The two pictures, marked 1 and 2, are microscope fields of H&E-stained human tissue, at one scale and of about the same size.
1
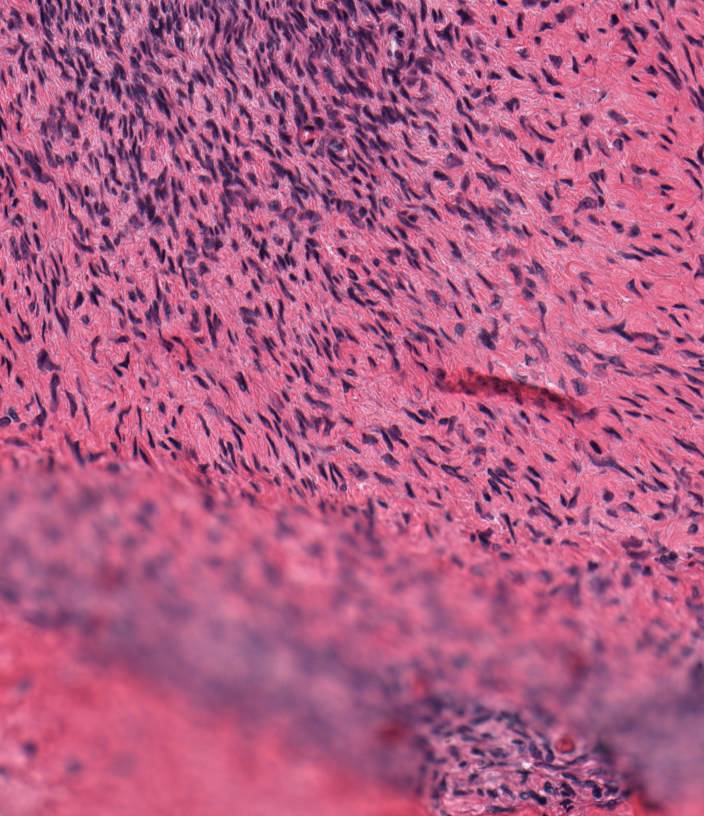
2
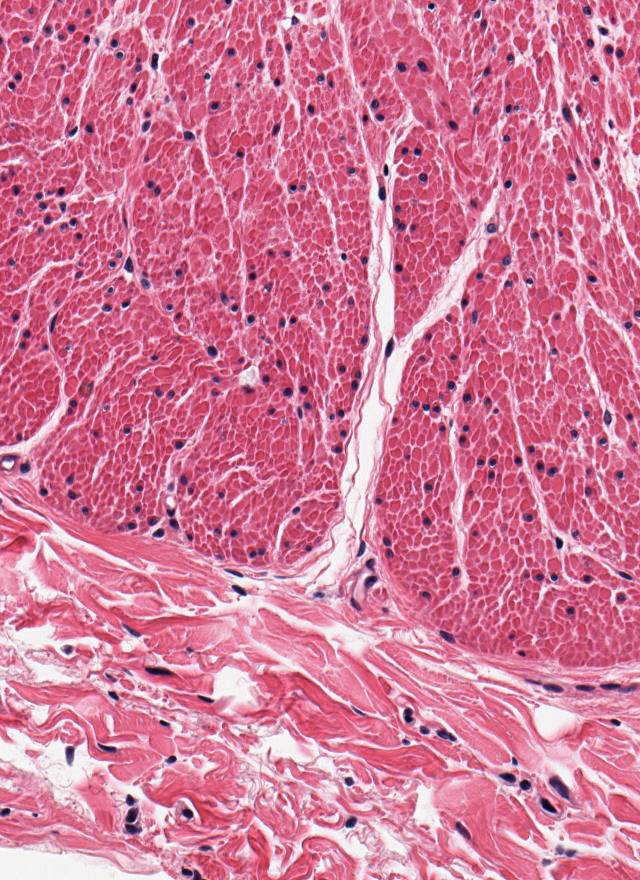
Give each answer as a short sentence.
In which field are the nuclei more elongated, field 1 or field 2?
The nuclei are more elongated in field 1.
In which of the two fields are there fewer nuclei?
The smaller number of nuclei is in field 2.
